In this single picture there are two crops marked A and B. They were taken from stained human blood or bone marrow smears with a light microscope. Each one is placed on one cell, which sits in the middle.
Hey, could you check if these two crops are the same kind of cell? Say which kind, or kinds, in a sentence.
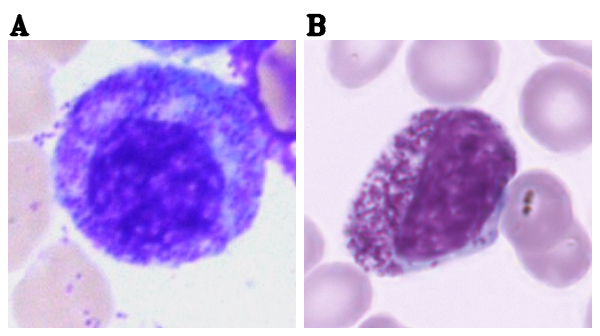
Yes, myelocytes are the cells shown in both crops.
